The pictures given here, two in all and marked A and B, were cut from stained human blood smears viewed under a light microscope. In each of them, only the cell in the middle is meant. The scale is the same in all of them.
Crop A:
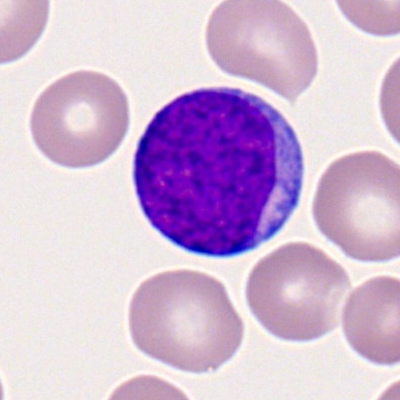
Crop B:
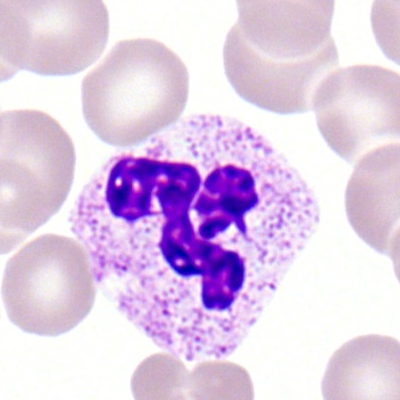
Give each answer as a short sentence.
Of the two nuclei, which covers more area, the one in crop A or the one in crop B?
It is the nucleus in crop A, about 1.5 times as large in area as the one in crop B.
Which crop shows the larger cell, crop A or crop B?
Crop B holds the larger cell; it covers about 1.5 times the area of the cell in crop A.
